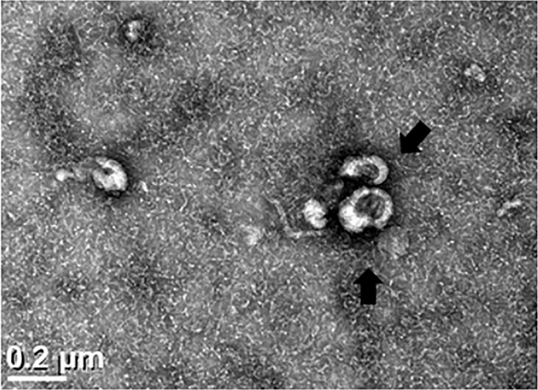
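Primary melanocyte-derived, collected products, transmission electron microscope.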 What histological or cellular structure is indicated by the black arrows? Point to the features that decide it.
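Small round membrane-bound vesicles lie at the arrowheads. The vesicles are a little smaller than the 0.2 μm scale bar. Each vesicle has a bright rim around a darker, depressed centre.
Hence: exosomes.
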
